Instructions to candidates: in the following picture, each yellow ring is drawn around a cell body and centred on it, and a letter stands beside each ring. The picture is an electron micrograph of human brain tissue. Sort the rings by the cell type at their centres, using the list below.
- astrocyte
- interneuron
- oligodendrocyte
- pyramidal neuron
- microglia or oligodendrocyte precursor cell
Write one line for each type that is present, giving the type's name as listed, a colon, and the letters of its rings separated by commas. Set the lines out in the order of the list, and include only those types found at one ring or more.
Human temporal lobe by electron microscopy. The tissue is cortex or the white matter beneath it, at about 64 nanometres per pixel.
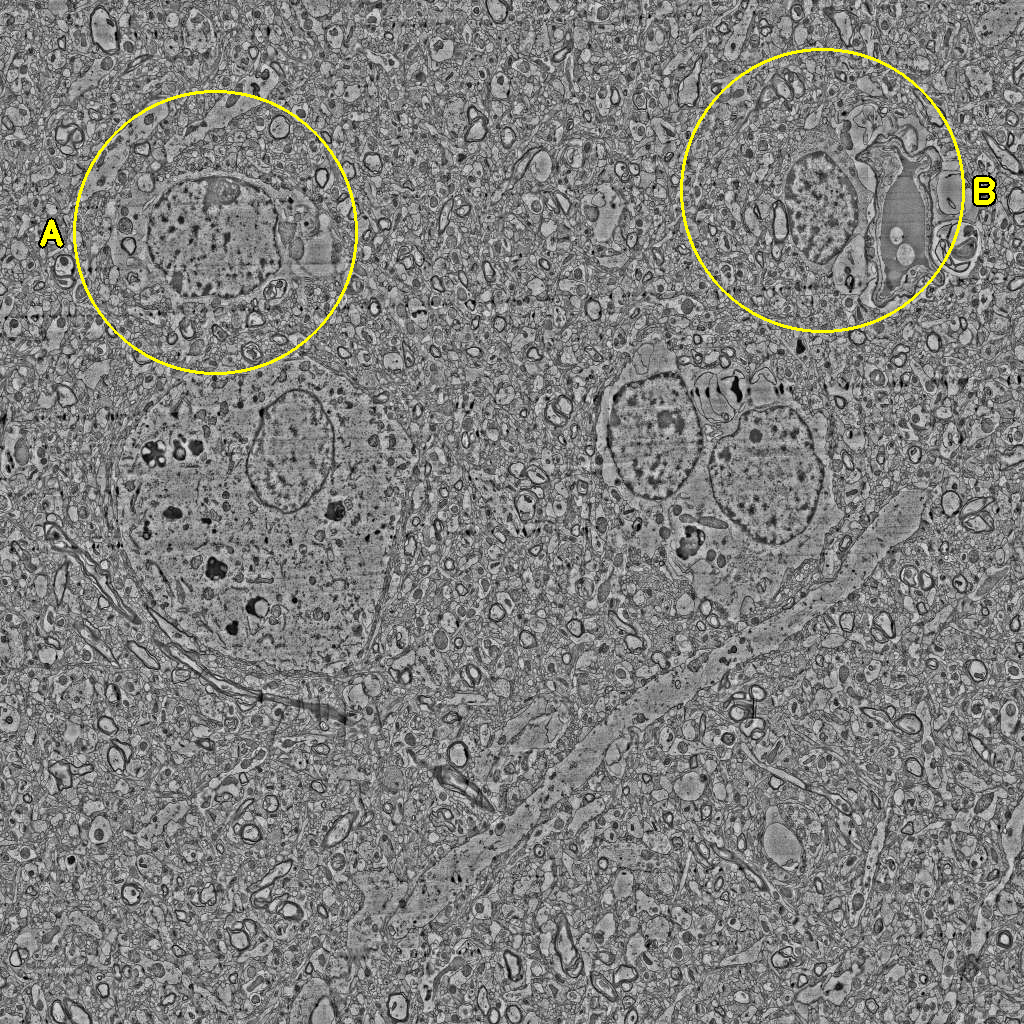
astrocyte: A
oligodendrocyte: B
